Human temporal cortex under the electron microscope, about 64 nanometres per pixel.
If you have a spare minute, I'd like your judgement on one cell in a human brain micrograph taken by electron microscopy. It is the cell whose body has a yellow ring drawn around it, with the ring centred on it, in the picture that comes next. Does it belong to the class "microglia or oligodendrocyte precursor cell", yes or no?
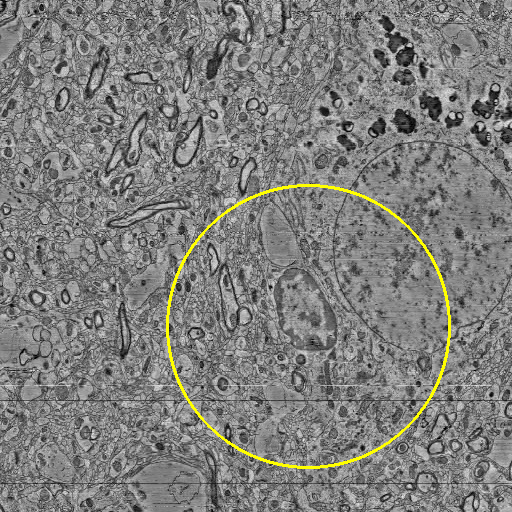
Yes, it belongs to that class.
